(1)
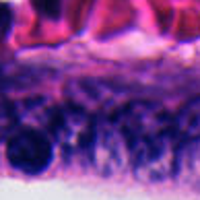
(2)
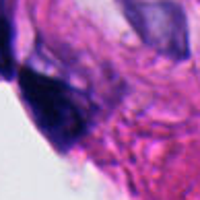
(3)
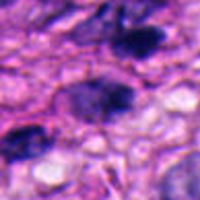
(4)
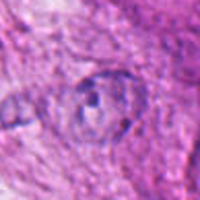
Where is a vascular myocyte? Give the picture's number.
3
